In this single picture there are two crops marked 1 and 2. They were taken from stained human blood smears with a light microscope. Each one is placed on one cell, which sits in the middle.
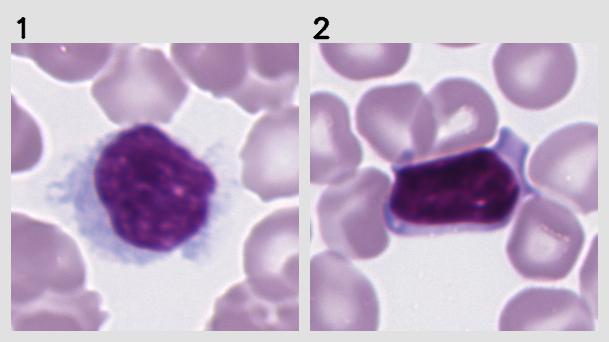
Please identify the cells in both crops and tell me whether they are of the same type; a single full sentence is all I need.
No, in crop 1 there is a hairy cell, and in crop 2 there is a typical lymphocyte.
